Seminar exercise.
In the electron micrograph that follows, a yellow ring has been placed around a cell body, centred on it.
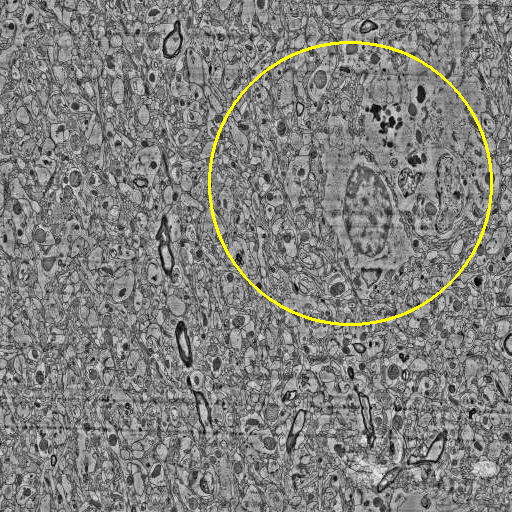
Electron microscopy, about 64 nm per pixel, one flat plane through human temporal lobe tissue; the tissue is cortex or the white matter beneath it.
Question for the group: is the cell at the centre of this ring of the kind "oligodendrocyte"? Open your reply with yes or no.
No, the cell in the ring's centre is of another kind.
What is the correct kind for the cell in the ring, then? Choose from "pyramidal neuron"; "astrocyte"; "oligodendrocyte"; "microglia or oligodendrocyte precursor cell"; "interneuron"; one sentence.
Instead, the cell at the centre of the ring is an astrocyte.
